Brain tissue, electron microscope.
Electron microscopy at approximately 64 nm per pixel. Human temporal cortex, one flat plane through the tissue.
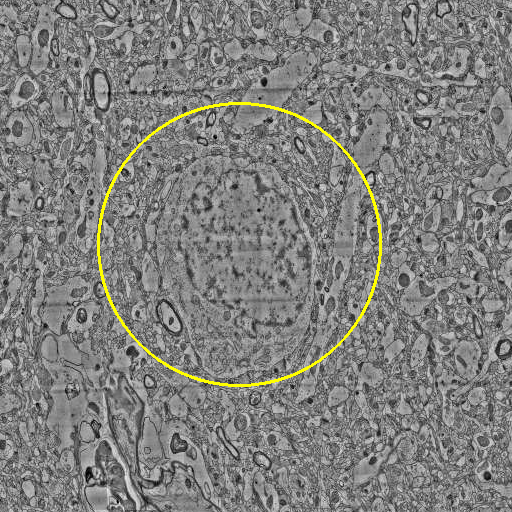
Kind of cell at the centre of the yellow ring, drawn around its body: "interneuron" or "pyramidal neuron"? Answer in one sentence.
The ring's centre falls on an interneuron.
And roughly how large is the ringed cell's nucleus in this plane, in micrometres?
In this plane the nucleus measures roughly 11 by 8 micrometres.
